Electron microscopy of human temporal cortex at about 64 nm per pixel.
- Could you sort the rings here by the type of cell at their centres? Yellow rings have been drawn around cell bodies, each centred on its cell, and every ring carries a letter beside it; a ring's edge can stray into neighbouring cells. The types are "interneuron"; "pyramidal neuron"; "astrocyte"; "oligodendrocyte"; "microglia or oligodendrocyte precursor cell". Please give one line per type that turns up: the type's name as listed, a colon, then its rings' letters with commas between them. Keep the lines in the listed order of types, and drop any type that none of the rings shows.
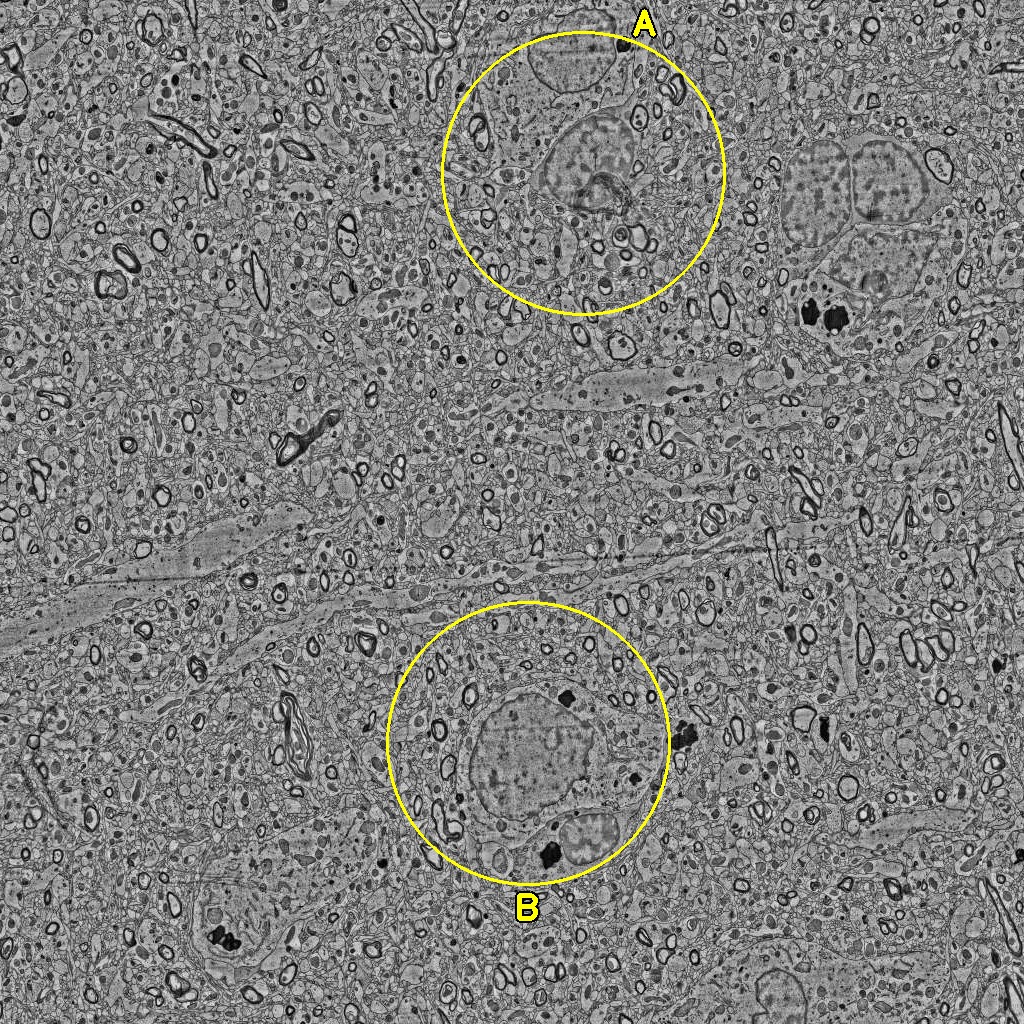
interneuron: B
oligodendrocyte: A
